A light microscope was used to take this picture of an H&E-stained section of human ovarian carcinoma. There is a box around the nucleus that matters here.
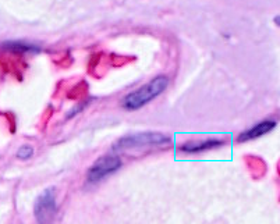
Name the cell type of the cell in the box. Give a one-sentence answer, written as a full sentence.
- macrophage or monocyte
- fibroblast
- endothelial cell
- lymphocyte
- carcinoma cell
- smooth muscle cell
The category to which the cell in the box belongs is that of an endothelial cell.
